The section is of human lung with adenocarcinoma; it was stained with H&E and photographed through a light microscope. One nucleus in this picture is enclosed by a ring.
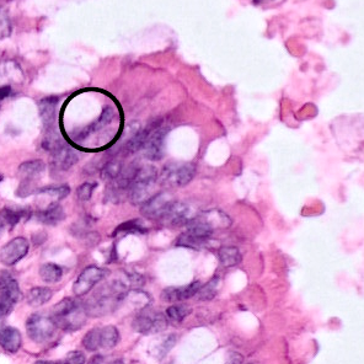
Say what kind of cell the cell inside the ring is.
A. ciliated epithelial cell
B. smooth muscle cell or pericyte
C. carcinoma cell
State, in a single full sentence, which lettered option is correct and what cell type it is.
Here the right answer is A, with the cell inside the ring being a ciliated epithelial cell.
